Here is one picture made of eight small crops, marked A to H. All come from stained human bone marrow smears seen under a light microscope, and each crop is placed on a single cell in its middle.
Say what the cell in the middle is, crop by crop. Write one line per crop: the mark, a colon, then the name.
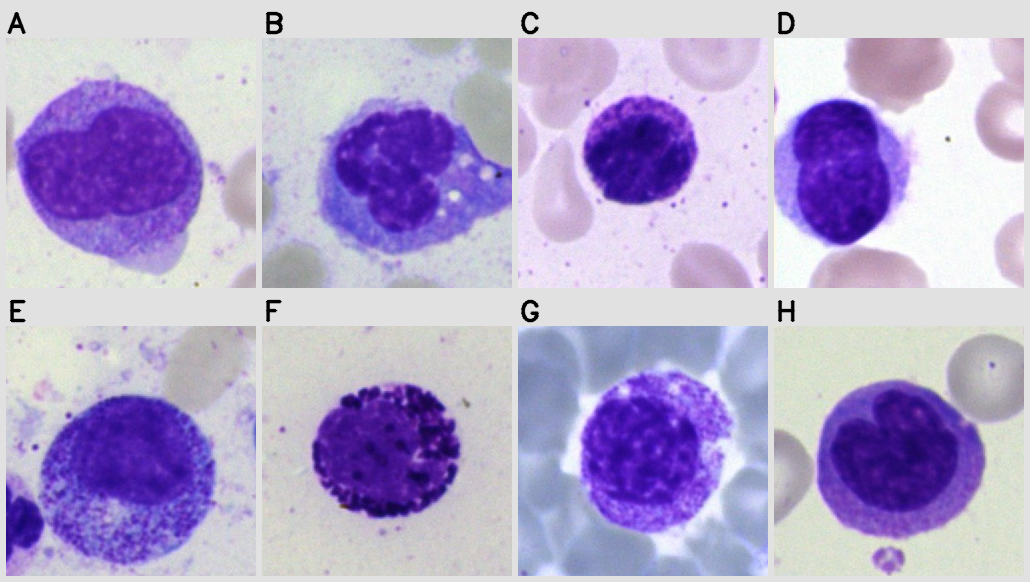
A: promyelocyte
B: monocyte
C: basophil
D: hairy cell
E: myelocyte
F: basophil
G: myelocyte
H: monocyte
